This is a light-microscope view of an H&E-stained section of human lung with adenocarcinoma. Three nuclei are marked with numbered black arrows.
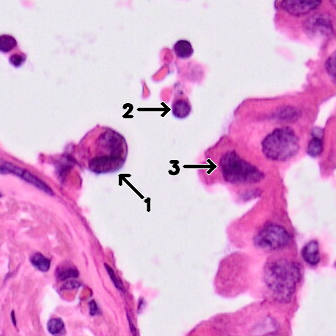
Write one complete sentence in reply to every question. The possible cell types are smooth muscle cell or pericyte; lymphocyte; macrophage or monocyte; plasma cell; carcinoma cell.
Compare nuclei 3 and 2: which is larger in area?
Nucleus 3 is the larger one, covering about 3 times the area of nucleus 2.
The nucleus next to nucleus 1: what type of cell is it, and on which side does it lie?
It is a carcinoma cell, whose nucleus lies above nucleus 1.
